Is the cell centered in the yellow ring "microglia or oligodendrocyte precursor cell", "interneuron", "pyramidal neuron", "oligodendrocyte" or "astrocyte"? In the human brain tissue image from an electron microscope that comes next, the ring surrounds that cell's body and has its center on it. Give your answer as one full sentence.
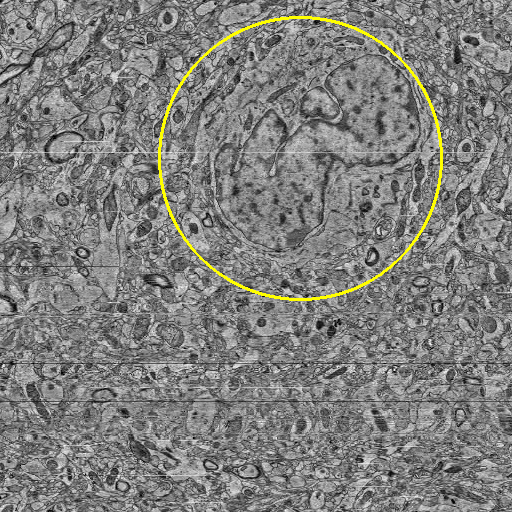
The cell at the center of the yellow ring is a microglial cell or oligodendrocyte precursor cell in the micrograph.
